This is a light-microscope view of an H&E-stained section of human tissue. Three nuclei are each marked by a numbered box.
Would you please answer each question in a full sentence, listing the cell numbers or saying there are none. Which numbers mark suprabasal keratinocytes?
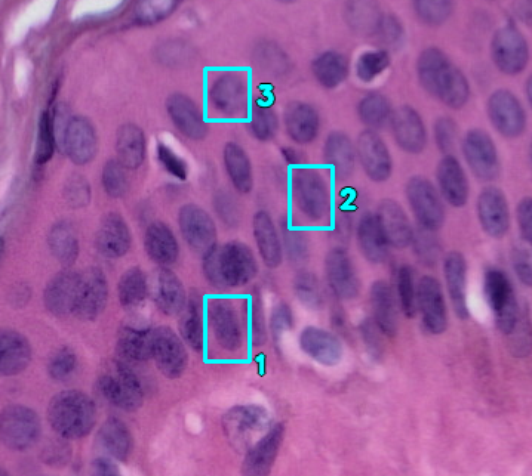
Marked by the numbers 2 and 3 are cells that are suprabasal keratinocytes.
